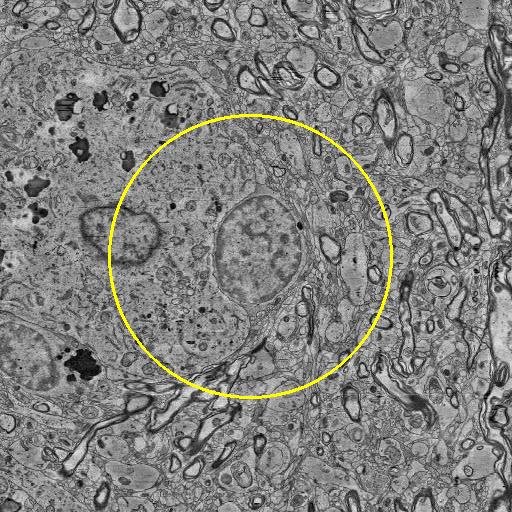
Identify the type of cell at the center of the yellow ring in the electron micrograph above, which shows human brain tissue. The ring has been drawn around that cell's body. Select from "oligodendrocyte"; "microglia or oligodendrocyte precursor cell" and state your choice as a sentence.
The yellow ring is centered on the body of an oligodendrocyte.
